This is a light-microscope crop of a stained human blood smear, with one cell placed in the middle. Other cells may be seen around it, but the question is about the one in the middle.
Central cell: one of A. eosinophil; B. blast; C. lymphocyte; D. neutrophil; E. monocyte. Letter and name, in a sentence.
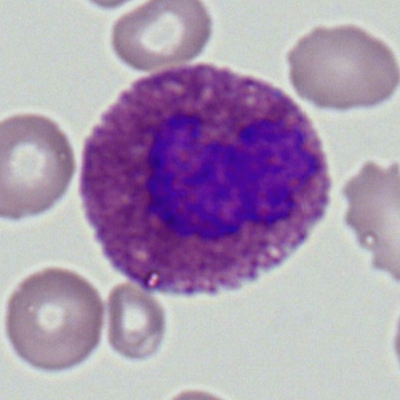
Correctly, option A names the cell in the middle an eosinophil.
